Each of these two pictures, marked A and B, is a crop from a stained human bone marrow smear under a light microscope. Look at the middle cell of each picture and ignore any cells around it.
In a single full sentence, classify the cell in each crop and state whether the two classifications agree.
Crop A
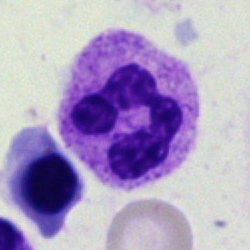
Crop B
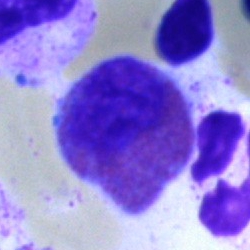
No, the middle of crop A shows a segmented neutrophil, and the middle of crop B shows an eosinophil.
